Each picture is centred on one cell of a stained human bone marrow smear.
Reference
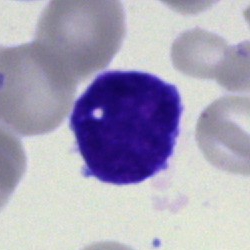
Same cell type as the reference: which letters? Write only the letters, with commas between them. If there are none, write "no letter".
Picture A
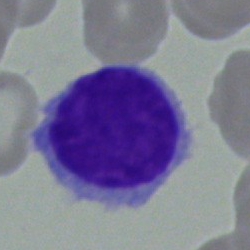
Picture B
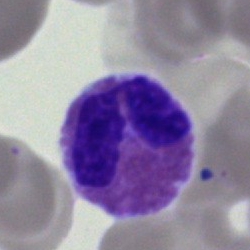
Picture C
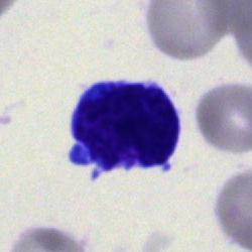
C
